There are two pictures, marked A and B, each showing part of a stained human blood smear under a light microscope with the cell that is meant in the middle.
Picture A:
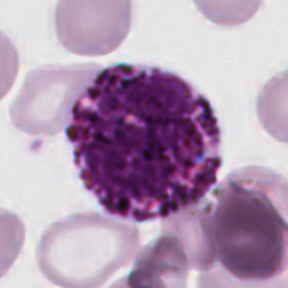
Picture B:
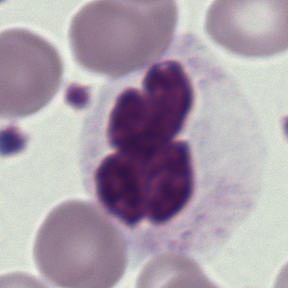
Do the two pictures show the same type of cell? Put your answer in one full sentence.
No, they differ: the cell is a basophil in picture A and a segmented neutrophil in picture B.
